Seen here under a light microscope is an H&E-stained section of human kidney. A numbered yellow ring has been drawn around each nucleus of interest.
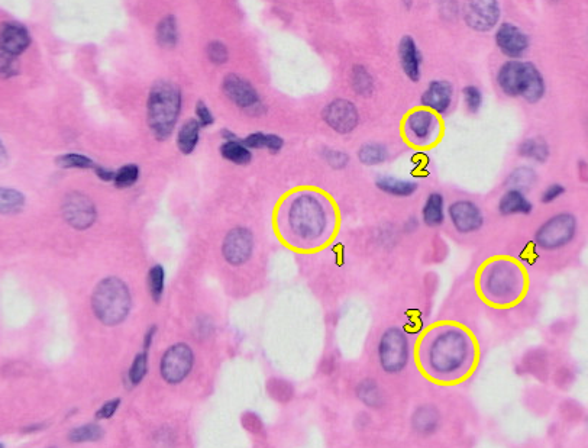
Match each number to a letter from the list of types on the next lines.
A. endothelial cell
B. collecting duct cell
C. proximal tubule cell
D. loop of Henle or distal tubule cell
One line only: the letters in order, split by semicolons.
C; B; C; C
